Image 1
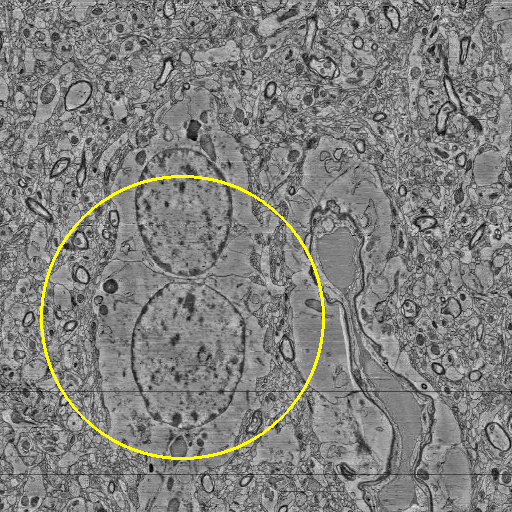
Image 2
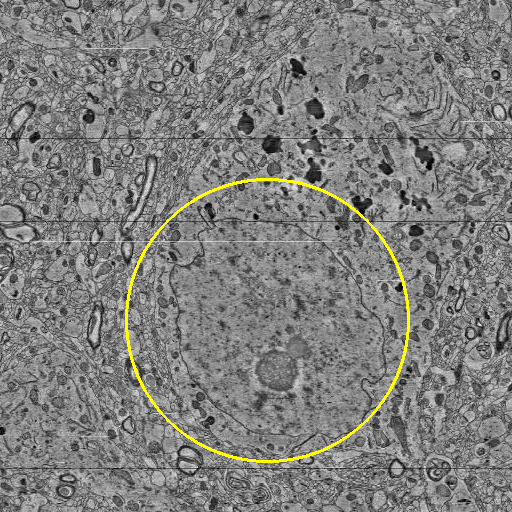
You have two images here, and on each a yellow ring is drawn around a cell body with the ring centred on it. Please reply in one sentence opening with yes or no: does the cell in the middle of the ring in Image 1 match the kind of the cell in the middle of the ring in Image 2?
No, the two images show cells of two kinds at the centres of their rings.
